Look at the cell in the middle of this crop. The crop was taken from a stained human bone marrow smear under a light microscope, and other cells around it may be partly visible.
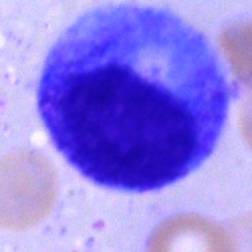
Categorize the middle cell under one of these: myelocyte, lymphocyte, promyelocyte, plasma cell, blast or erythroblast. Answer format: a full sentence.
The cell at the centre of the field is a promyelocyte.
